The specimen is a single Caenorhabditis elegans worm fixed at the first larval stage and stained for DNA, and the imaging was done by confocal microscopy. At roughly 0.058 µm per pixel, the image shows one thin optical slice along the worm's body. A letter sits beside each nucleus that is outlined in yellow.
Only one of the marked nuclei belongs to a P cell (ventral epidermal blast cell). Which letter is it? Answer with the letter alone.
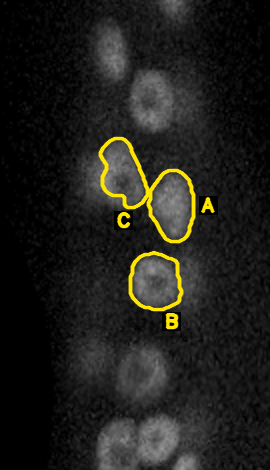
A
